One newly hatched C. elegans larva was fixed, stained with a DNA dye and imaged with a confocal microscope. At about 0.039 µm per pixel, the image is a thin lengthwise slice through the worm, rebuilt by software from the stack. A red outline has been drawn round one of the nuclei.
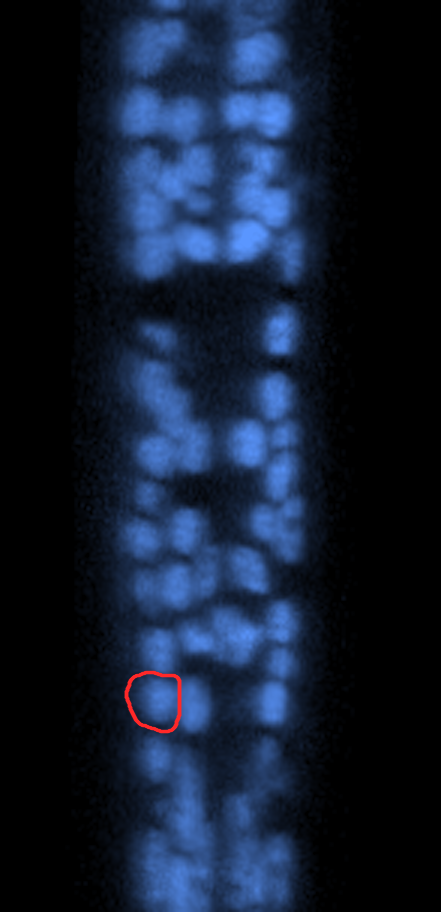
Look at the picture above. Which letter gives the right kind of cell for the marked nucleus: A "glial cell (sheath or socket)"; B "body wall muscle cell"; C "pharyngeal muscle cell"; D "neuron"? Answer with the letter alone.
A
